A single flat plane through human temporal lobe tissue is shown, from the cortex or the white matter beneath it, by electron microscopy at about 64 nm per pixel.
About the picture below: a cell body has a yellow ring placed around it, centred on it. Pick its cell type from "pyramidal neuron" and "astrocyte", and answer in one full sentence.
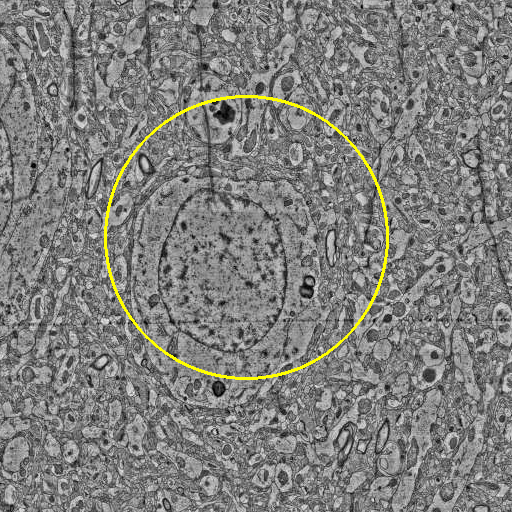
In the picture, a pyramidal neuron is the cell sitting at the centre of the yellow ring.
